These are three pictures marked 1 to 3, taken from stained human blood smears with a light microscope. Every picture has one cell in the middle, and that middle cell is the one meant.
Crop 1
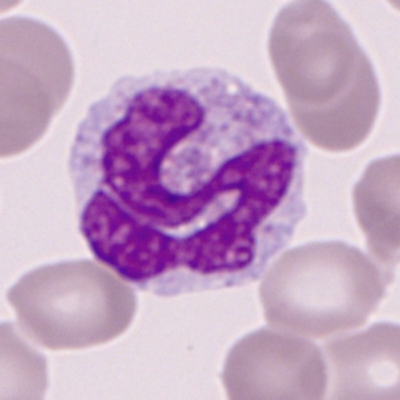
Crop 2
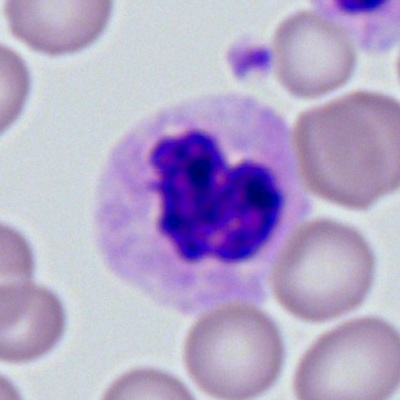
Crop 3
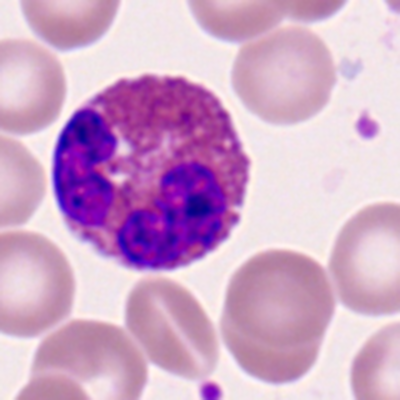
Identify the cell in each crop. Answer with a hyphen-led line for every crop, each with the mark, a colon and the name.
- 1: monocyte
- 2: segmented neutrophil
- 3: eosinophil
